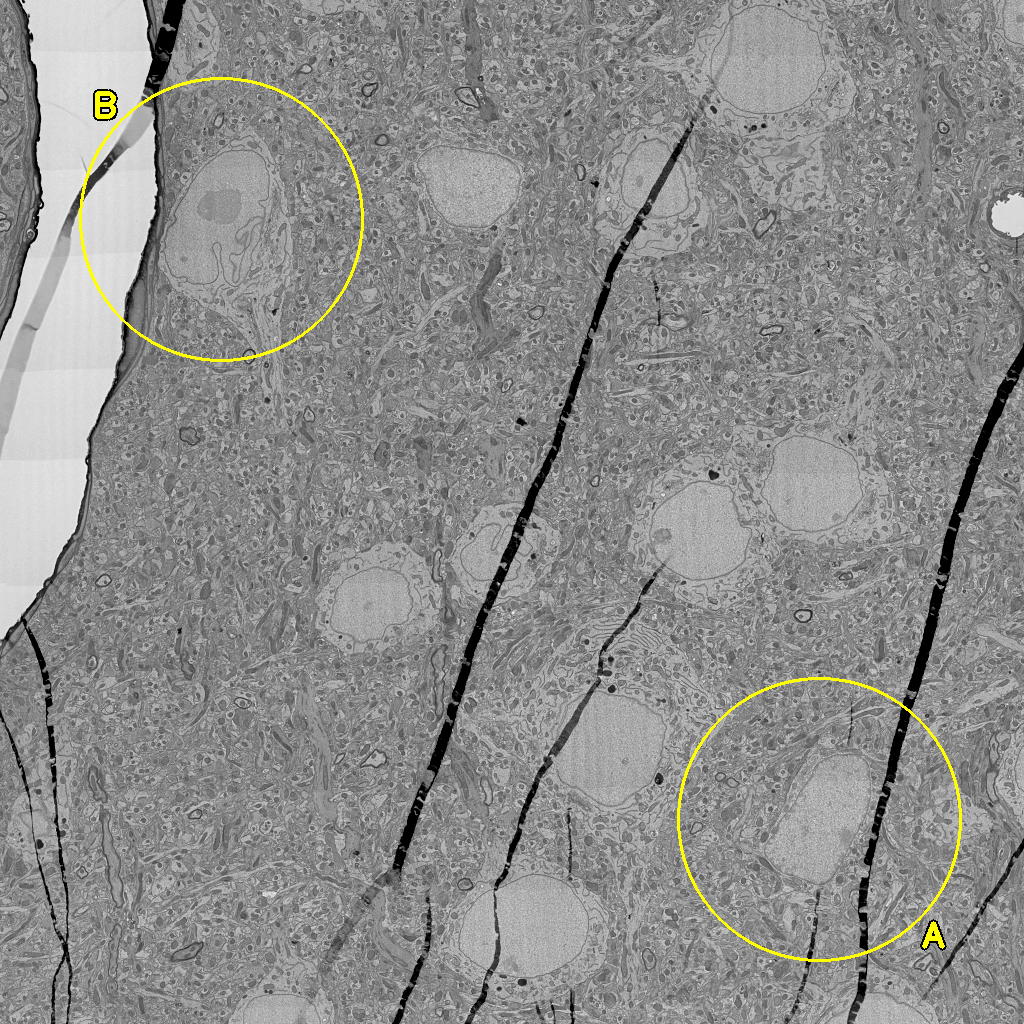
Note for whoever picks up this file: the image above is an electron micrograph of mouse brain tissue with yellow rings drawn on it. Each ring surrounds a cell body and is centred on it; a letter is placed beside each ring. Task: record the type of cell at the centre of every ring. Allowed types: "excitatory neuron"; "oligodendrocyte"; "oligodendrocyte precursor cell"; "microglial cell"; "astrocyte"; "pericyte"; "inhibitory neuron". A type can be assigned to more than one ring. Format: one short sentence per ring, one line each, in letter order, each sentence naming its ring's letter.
The ring marked A is centred on an astrocyte.
The ring marked B is centred on an inhibitory neuron.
